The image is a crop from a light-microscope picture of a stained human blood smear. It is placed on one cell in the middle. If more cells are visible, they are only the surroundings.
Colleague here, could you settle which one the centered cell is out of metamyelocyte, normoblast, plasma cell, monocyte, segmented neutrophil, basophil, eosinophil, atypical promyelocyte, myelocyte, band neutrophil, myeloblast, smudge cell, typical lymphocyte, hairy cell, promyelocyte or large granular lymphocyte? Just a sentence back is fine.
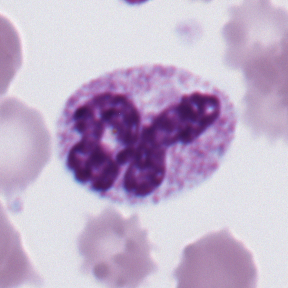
The cell at the heart of this crop is a segmented neutrophil.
